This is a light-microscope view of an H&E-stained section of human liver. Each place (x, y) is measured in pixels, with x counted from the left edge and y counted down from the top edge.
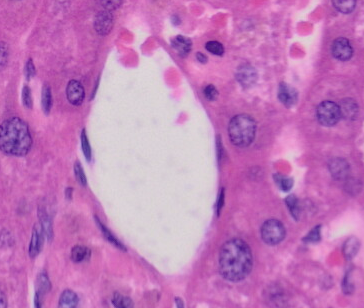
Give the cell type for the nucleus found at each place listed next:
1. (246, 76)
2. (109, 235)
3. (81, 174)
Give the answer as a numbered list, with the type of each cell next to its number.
1. hepatocyte
2. fibroblast or stellate cell
3. fibroblast or stellate cell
